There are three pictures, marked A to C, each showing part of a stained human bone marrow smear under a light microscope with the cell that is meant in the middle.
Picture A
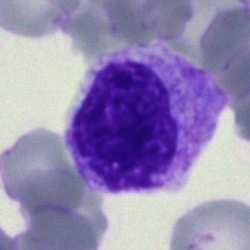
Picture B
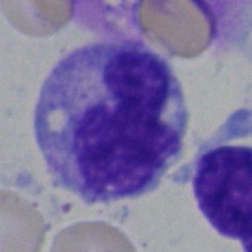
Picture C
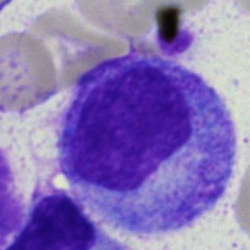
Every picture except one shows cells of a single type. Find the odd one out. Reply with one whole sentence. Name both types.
All pictures except B show myelocytes; picture B shows a monocyte.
